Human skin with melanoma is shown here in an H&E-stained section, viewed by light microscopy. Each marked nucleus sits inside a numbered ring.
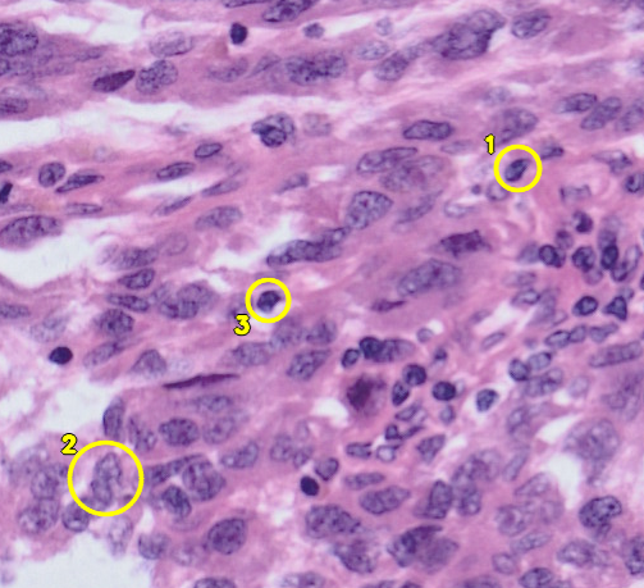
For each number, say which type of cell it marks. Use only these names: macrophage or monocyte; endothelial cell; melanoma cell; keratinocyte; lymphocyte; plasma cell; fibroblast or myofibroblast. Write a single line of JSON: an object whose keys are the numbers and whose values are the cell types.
{"1": "lymphocyte", "2": "melanoma cell", "3": "lymphocyte"}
